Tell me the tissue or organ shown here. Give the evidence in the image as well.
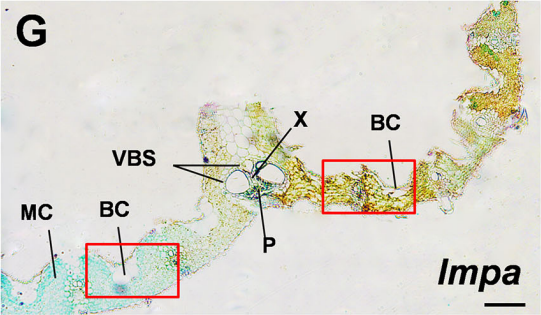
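A vascular bundle with xylem vessels surrounded by a ring of sheath cells. Large thin-walled cells at intervals along one surface.
Leaves.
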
